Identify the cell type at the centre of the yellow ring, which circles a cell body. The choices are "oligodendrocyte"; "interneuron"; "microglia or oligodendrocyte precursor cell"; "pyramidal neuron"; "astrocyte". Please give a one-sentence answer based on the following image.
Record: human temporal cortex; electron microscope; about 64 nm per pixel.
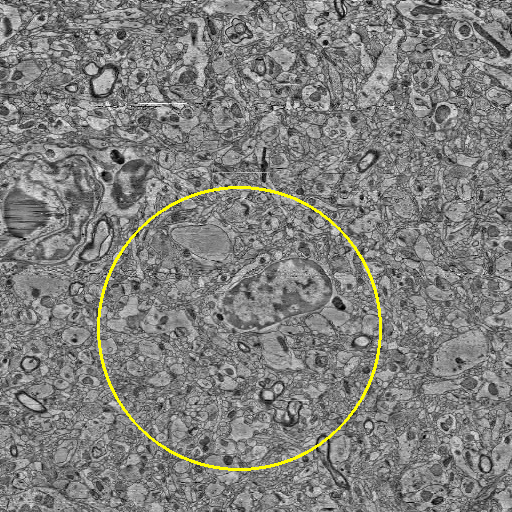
The cell marked by the ring is a microglial cell or oligodendrocyte precursor cell.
